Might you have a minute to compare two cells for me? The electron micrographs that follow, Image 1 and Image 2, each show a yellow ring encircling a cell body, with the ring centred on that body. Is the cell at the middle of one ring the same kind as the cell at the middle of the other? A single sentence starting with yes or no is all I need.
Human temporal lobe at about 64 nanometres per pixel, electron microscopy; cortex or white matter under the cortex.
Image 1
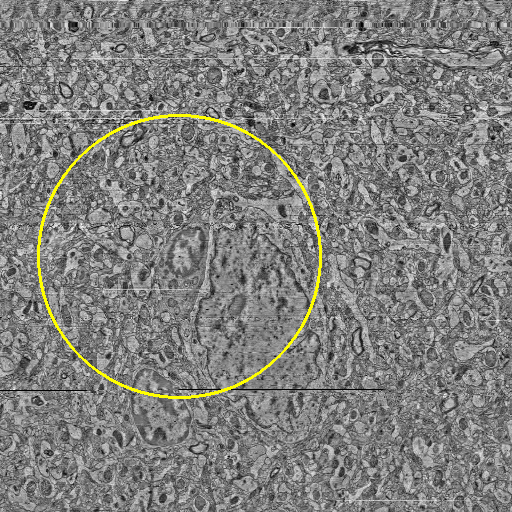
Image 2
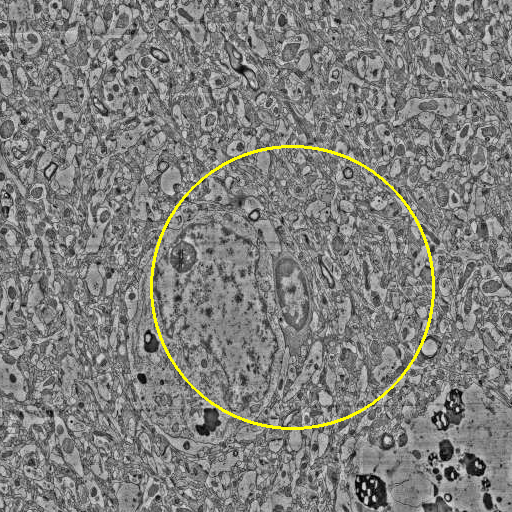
Yes, the cells in the middle of the two rings are of one shared kind.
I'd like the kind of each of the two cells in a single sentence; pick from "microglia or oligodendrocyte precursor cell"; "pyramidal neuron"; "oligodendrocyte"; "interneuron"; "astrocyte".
Each of the ringed cells, first and second, is an oligodendrocyte.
